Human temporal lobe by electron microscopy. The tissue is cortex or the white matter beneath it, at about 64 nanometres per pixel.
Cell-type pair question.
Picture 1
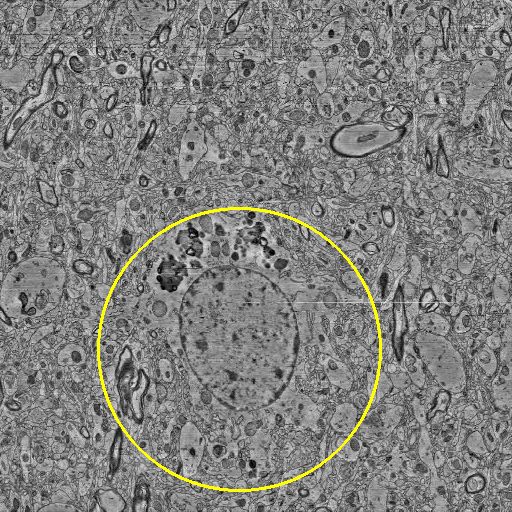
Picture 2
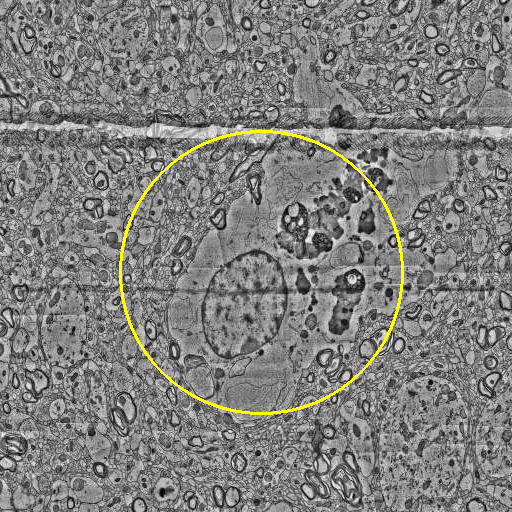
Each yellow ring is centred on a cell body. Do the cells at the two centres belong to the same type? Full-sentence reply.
Yes, the two cells belong to the same type.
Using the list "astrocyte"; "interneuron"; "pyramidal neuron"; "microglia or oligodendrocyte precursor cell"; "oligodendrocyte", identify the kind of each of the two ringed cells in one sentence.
The second cell is an astrocyte, just as the first is.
